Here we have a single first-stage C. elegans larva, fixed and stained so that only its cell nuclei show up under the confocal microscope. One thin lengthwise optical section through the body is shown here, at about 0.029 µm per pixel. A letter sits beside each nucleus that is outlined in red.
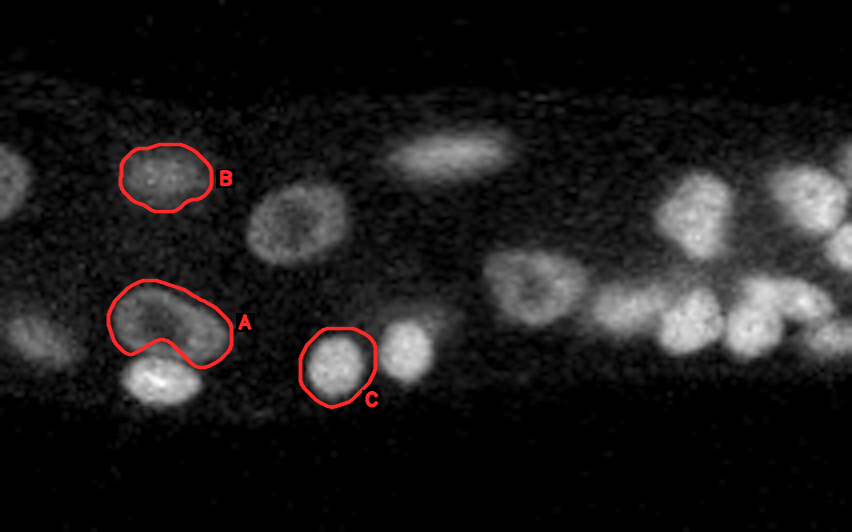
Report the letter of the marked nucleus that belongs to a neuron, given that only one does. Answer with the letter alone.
C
